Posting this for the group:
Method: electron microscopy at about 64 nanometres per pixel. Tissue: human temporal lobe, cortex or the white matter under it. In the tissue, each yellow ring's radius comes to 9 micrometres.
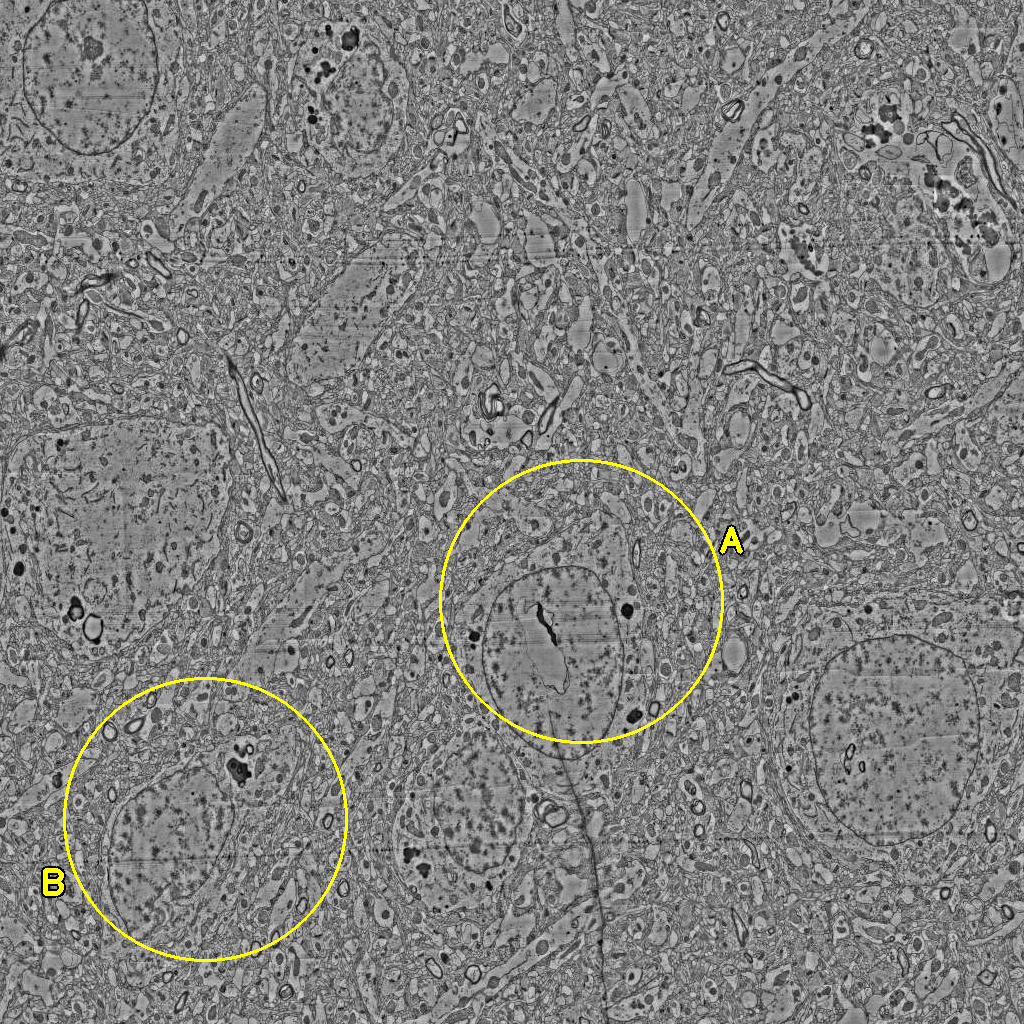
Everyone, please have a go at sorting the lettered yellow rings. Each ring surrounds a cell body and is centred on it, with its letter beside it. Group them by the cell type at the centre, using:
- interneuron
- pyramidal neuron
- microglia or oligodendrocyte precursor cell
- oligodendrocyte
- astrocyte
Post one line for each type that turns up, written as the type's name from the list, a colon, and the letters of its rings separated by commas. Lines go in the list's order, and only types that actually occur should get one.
interneuron: B
pyramidal neuron: A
